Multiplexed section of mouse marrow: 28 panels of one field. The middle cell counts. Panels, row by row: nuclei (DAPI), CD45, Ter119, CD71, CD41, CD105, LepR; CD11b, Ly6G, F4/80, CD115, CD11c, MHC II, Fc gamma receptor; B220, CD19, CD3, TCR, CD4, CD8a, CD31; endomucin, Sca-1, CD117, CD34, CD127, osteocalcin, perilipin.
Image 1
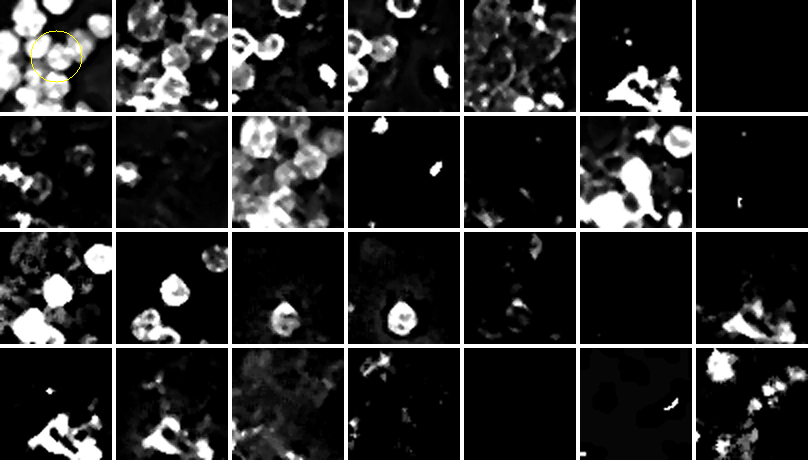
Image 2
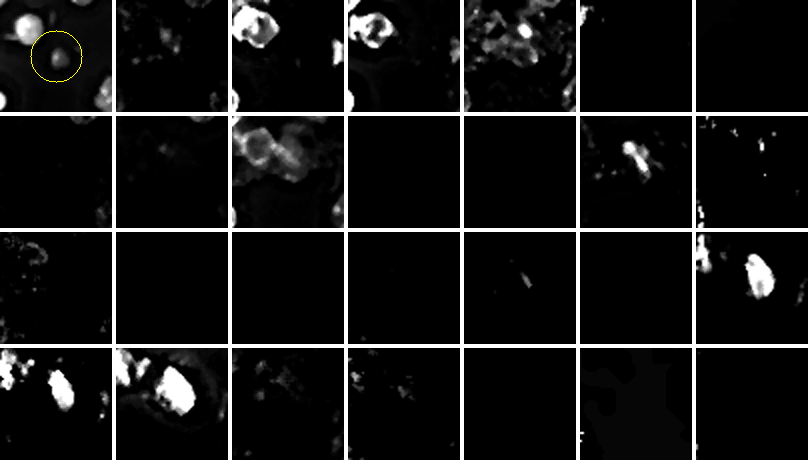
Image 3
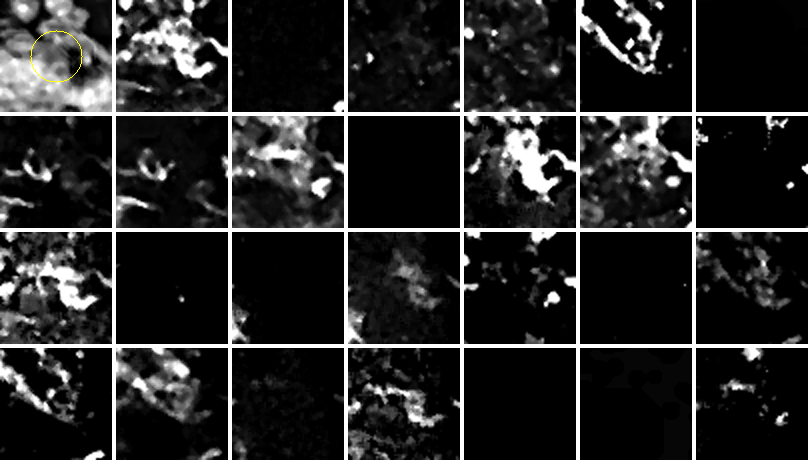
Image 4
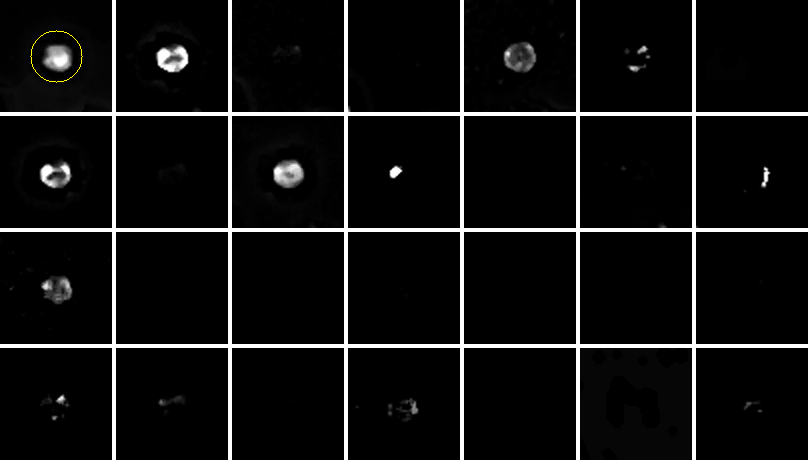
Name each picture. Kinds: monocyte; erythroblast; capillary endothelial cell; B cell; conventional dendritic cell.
1. B cell
2. capillary endothelial cell
3. conventional dendritic cell
4. monocyte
